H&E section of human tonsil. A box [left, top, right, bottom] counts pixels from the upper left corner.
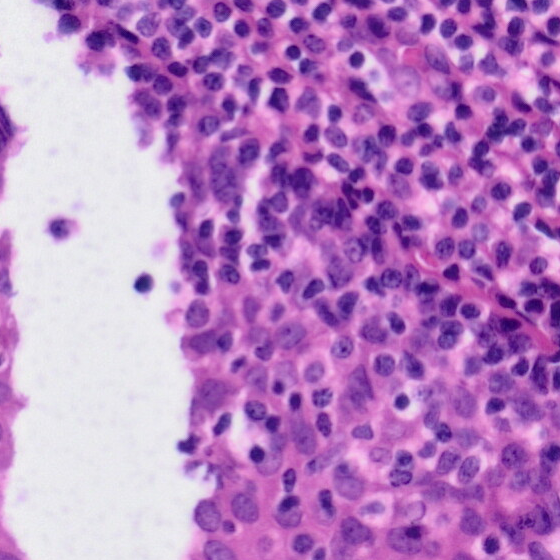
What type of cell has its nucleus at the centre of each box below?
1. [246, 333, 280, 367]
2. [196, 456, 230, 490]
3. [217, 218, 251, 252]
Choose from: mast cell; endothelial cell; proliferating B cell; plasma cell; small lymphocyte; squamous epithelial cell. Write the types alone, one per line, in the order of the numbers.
squamous epithelial cell
squamous epithelial cell
plasma cell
